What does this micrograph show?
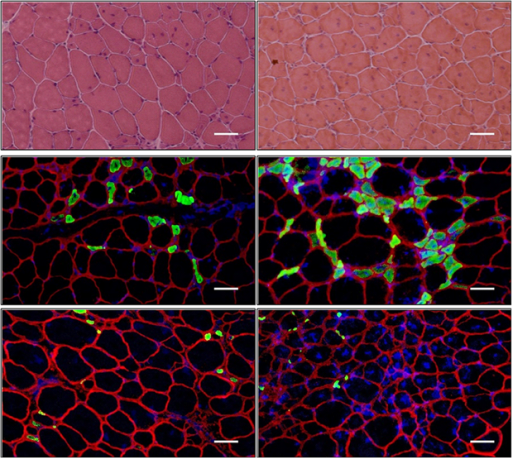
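These are cross sections of injured skeletal muscle, shown as a grid of pink-and-purple stained images above and fluorescent images below. In the fluorescent sections, red outlines trace each fibre's border, blue dots mark nuclei, and small green-filled fibres cluster in the spaces between larger dark ones.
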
